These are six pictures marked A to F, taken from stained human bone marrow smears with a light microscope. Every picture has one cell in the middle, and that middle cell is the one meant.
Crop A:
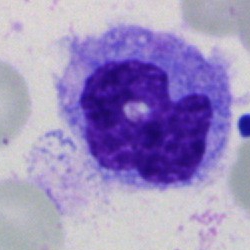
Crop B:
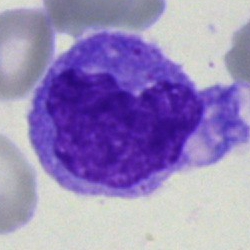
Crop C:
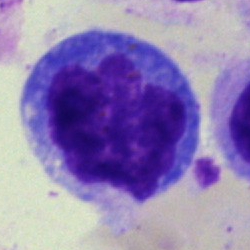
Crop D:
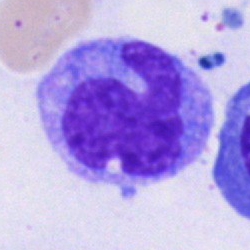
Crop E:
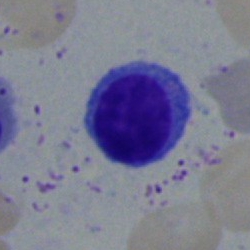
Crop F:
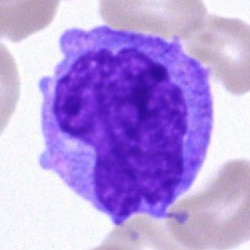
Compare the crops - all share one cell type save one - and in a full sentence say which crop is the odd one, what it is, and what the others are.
Whereas the other crops all show monocytes, crop E shows a lymphocyte.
